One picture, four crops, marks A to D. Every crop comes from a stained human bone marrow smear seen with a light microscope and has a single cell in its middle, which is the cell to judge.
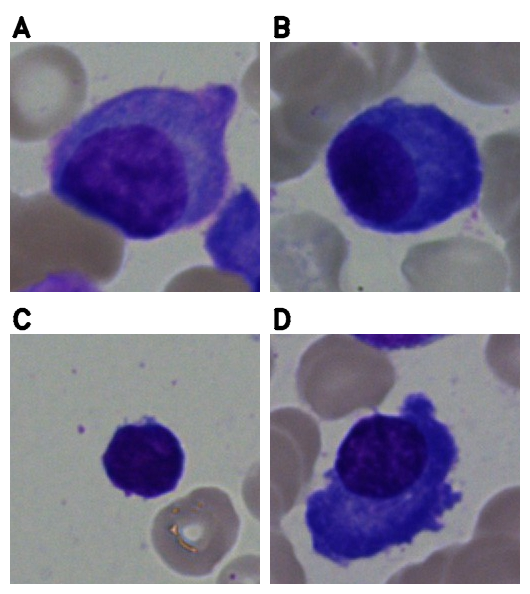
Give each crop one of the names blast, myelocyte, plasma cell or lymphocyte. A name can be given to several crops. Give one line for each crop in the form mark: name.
A: plasma cell
B: plasma cell
C: lymphocyte
D: plasma cell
